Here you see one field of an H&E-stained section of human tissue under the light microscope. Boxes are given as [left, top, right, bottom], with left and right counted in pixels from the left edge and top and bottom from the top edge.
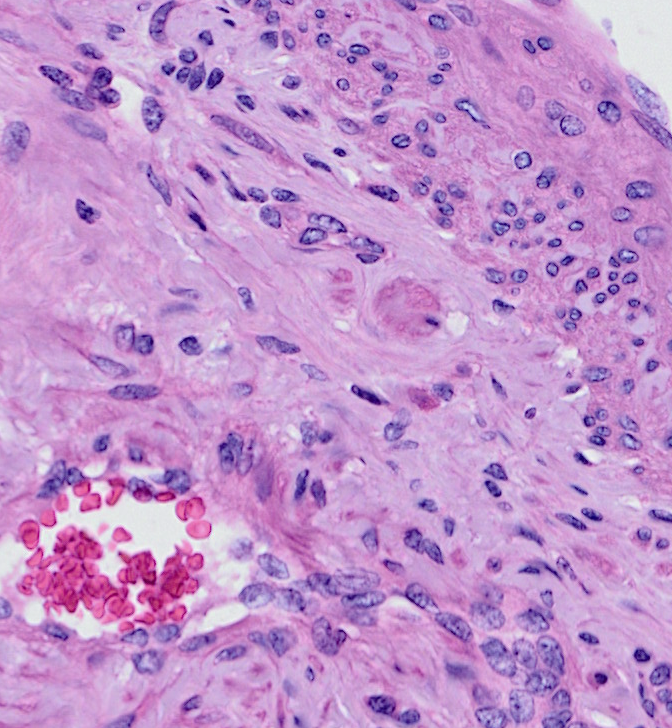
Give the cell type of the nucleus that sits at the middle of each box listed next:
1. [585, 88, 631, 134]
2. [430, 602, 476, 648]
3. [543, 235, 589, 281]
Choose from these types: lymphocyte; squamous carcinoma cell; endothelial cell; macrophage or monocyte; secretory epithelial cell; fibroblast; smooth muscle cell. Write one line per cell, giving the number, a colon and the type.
1: smooth muscle cell
2: endothelial cell
3: smooth muscle cell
